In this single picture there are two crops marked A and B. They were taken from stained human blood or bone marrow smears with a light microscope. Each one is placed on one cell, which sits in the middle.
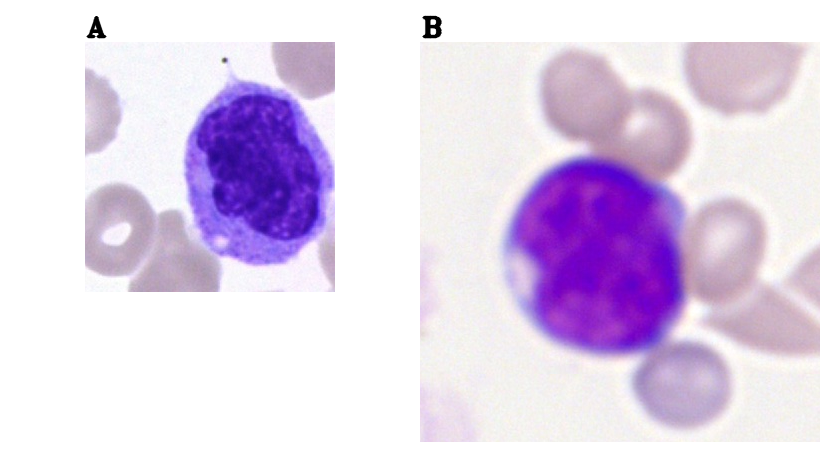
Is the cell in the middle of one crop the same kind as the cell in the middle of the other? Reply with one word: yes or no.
no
